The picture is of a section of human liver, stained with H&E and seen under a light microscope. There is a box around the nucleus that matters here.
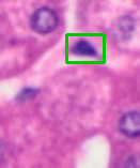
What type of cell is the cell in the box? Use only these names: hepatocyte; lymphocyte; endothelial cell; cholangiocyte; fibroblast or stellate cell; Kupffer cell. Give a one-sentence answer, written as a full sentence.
In the tissue at hand, the cell in the box is a lymphocyte.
